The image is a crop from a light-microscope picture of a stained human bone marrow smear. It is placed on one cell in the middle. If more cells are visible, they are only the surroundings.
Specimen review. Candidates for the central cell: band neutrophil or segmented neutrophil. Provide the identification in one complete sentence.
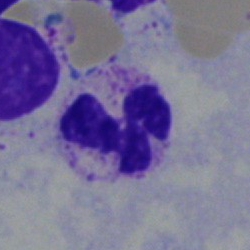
The middle cell in this particular crop is a segmented neutrophil.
